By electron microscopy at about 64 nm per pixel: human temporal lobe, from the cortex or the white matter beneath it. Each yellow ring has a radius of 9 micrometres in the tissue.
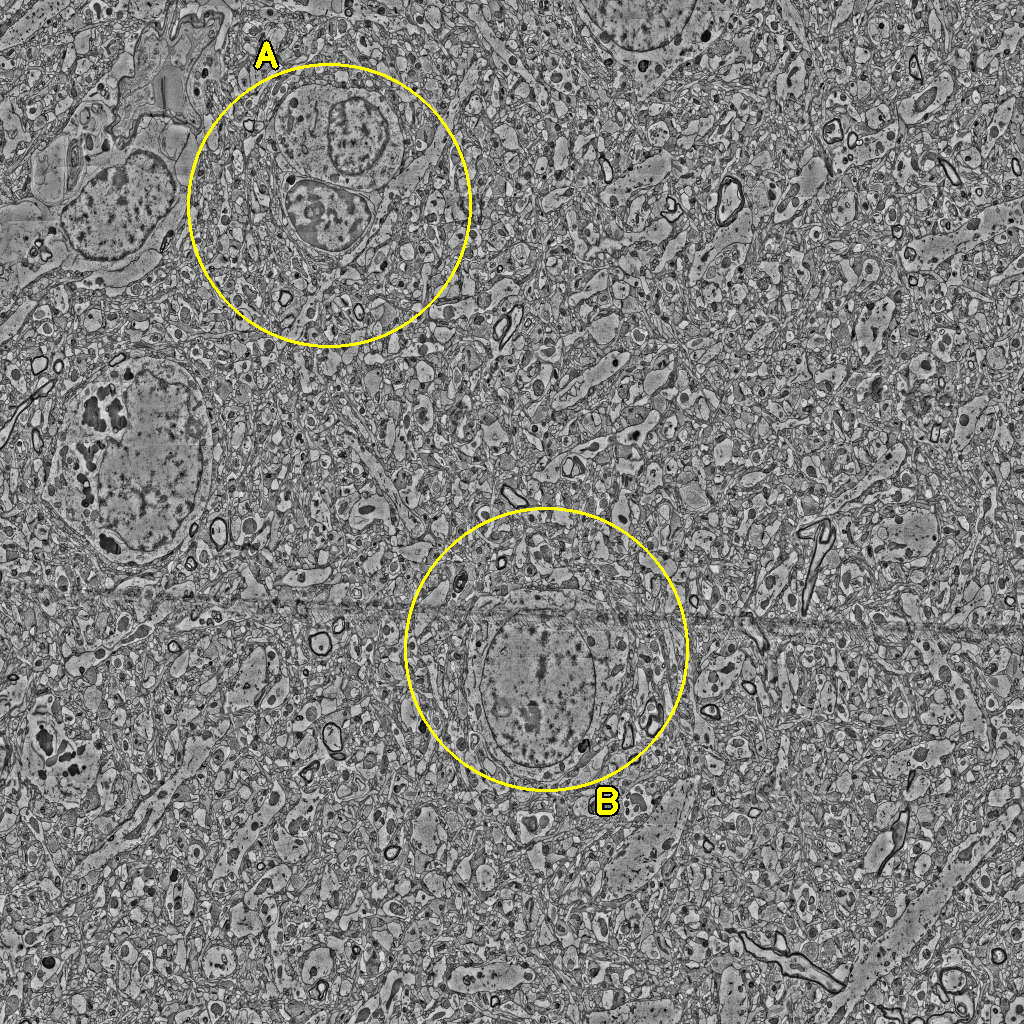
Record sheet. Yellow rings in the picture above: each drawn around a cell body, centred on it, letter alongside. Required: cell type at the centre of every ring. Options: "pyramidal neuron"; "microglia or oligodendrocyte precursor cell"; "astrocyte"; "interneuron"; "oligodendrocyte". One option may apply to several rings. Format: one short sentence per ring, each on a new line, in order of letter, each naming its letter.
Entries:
Ring A contains a microglial cell or oligodendrocyte precursor cell at the centre.
Ring B contains a pyramidal neuron at the centre.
